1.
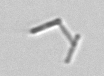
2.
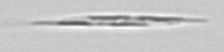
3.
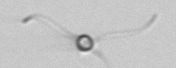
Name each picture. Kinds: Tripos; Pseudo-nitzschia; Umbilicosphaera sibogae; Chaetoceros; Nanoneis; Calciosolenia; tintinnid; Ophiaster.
Picture 1: Nanoneis
Picture 2: Pseudo-nitzschia
Picture 3: Ophiaster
